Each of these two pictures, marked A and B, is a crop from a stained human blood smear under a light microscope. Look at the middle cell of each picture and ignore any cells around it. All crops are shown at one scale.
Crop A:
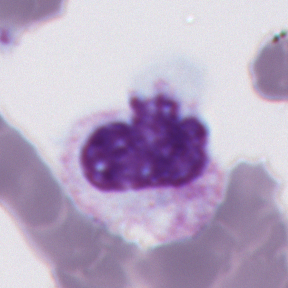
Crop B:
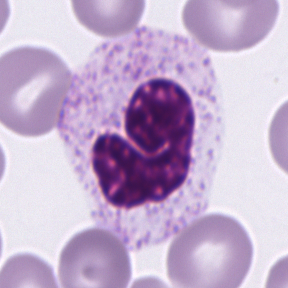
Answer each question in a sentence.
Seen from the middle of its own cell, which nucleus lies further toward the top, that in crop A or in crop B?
In crop A the nucleus is shifted more toward the top.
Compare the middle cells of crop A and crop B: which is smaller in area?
Smaller is the cell in crop A, and the other is about 1.5 times as large in area.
